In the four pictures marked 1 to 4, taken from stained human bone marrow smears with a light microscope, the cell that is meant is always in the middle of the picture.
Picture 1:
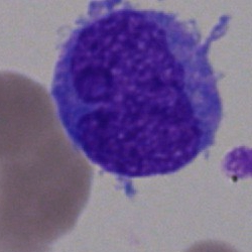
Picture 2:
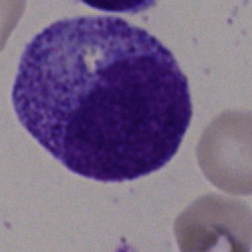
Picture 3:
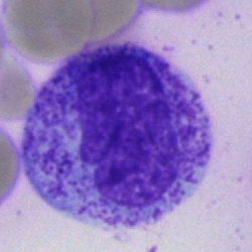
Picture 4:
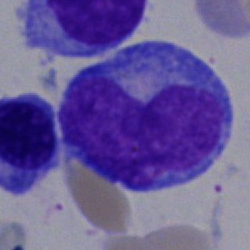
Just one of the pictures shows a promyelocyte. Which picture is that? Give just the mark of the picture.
2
